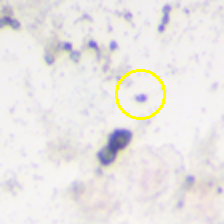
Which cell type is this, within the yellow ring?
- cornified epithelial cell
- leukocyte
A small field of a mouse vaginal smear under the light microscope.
Within the ring is a leukocyte.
